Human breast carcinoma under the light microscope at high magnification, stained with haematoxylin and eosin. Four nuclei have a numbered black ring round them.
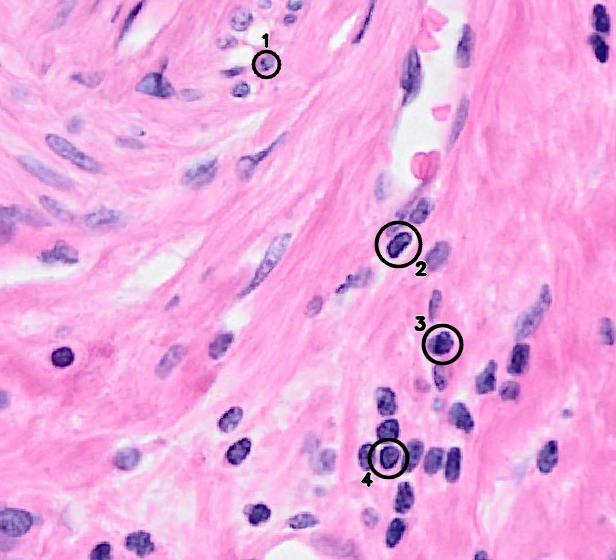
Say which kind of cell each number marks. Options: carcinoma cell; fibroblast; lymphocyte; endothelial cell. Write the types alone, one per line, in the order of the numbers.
endothelial cell
lymphocyte
lymphocyte
lymphocyte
